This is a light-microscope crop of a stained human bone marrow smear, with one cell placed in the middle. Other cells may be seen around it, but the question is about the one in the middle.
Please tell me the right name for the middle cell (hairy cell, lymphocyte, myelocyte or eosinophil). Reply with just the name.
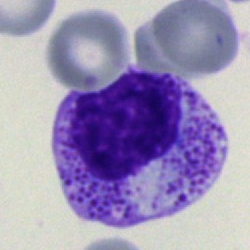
myelocyte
